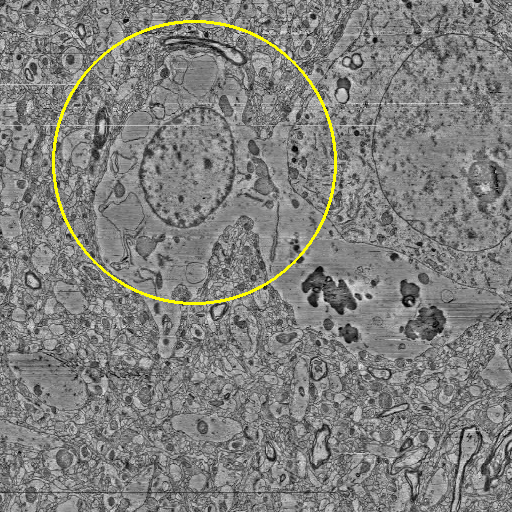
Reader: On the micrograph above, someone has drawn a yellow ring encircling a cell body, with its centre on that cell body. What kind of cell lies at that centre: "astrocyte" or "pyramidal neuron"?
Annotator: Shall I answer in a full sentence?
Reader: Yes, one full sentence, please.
Here an astrocyte sits at the centre of the yellow ring drawn on the micrograph.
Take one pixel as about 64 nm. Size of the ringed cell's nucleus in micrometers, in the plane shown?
Approximately 8 by 6 micrometers in this plane.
